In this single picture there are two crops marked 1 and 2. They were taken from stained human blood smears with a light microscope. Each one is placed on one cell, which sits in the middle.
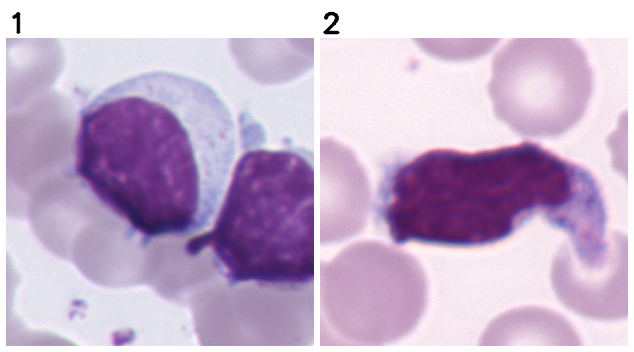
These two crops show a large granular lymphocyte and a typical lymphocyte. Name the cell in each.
1: large granular lymphocyte
2: typical lymphocyte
